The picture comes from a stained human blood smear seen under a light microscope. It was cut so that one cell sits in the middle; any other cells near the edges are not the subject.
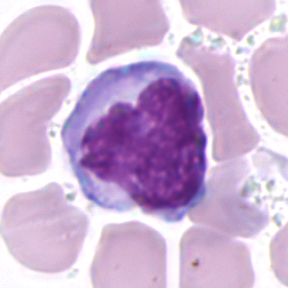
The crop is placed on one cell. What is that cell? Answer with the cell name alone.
plasma cell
